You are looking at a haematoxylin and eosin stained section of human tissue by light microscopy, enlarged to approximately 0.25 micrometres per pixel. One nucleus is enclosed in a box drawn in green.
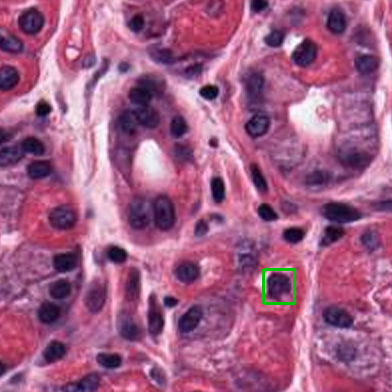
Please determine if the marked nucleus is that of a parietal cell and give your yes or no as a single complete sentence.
Yes, the marked nucleus is one that belongs to a parietal cell.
